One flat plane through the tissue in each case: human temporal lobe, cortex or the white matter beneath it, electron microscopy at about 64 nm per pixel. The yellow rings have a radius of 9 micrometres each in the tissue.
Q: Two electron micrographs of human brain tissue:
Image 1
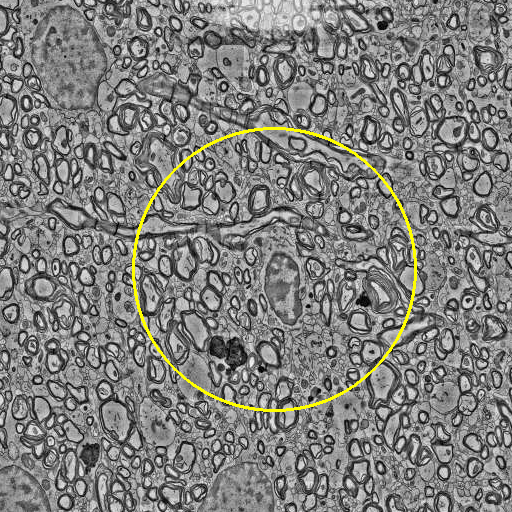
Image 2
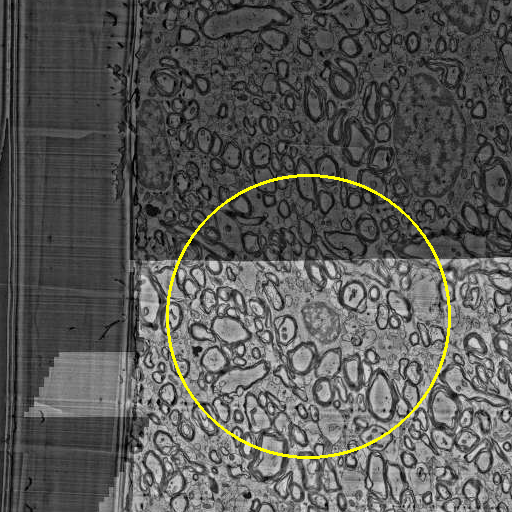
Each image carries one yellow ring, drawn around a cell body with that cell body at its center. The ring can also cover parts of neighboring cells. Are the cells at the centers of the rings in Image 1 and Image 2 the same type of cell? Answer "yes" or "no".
no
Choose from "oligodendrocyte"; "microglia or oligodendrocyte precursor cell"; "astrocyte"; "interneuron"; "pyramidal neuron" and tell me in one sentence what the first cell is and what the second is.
What the first ring is centred on is a microglial cell or oligodendrocyte precursor cell; what the second ring is centred on is an oligodendrocyte.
